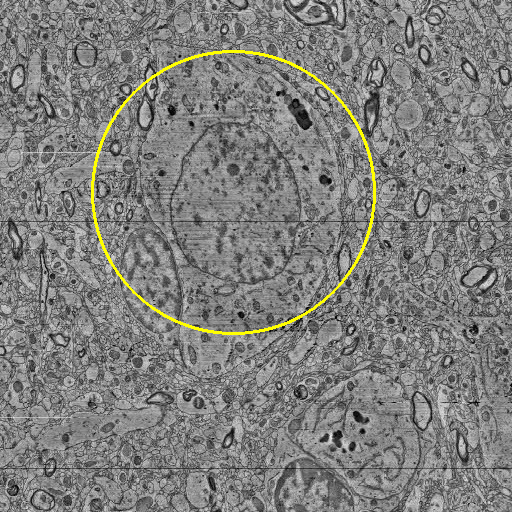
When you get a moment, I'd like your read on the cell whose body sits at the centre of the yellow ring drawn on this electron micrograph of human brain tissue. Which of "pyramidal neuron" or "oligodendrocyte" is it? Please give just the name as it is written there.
pyramidal neuron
